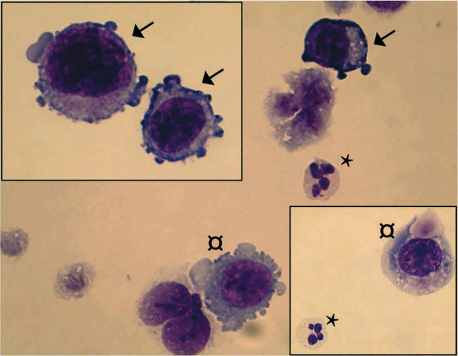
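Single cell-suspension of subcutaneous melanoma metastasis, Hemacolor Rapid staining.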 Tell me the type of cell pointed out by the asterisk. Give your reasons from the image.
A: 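Neutrophils. Small cell with a nucleus split into several dark lobes. Pale cytoplasm around the lobed nucleus.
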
